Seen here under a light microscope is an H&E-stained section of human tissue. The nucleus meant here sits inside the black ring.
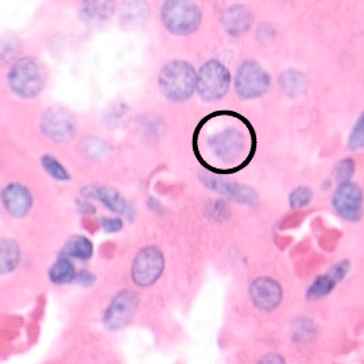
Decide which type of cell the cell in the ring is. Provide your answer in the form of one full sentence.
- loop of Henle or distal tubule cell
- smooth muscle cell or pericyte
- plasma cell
To be brief about it, the cell in the ring is a loop of Henle or distal tubule cell.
